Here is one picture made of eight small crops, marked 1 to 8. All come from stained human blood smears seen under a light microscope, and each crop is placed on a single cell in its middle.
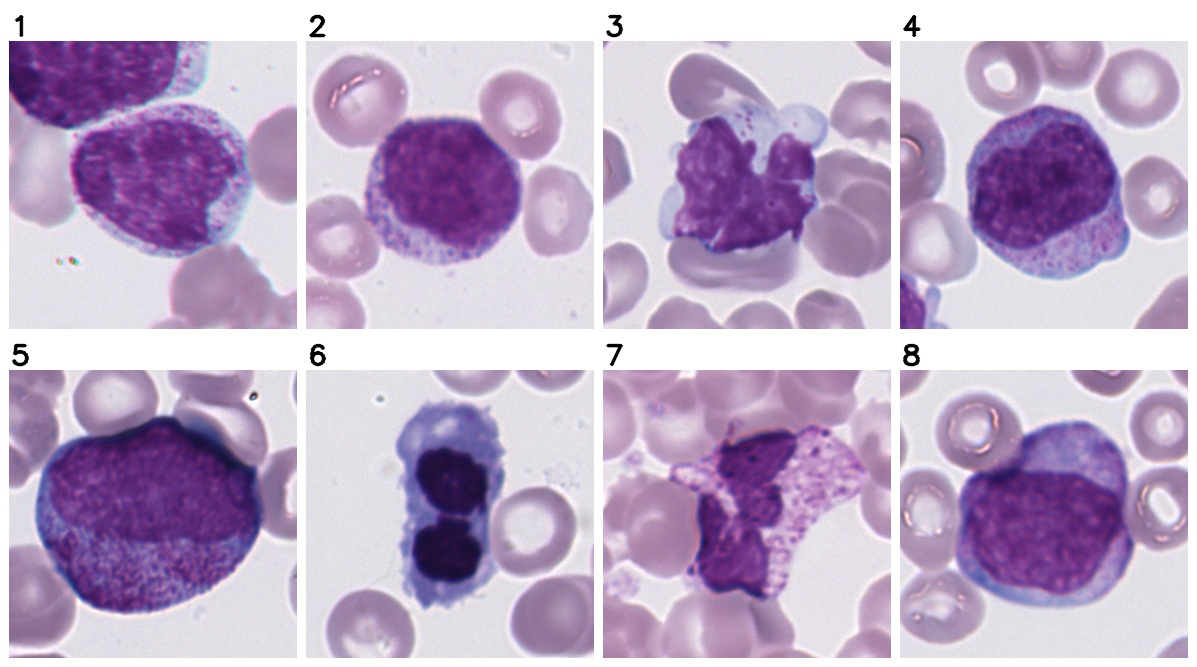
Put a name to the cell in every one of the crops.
1: myelocyte
2: myelocyte
3: large granular lymphocyte
4: atypical promyelocyte
5: promyelocyte
6: normoblast
7: basophil
8: atypical promyelocyte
